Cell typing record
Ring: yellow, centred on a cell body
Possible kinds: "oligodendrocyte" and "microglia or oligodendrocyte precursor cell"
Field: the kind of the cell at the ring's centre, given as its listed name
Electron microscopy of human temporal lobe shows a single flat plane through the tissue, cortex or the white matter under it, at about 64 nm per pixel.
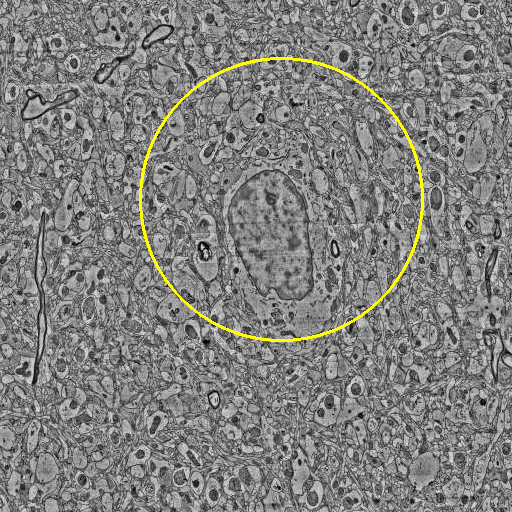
microglia or oligodendrocyte precursor cell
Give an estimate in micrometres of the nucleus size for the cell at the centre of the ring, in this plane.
Roughly 8 micrometres long and 5 micrometres wide; in this plane the nucleus is clearly longer than it is wide.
